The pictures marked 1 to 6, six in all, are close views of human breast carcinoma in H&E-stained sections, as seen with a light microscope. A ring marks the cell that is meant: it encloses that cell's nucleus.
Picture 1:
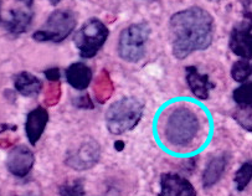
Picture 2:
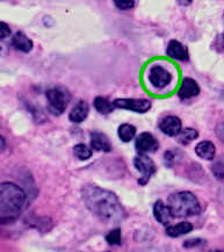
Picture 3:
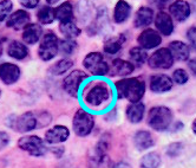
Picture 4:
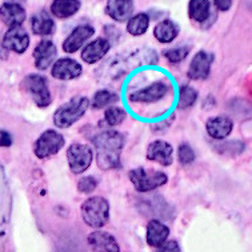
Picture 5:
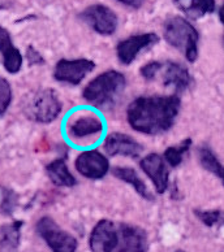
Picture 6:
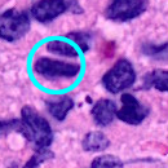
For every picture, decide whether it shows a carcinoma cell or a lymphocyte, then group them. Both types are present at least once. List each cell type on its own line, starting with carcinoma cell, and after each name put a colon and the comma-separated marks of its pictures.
carcinoma cell: 1, 5, 6
lymphocyte: 2, 3, 4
